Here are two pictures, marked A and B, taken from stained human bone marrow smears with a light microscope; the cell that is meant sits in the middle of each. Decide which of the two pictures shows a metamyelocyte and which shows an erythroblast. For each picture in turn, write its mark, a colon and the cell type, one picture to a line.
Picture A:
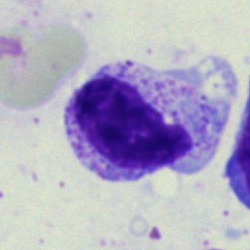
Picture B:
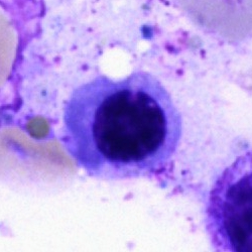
A: metamyelocyte
B: erythroblast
